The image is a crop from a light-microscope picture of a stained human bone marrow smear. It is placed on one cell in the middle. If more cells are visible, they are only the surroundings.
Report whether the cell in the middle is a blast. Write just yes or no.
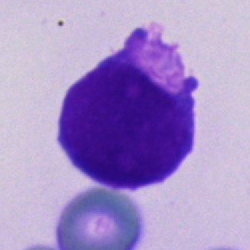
yes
